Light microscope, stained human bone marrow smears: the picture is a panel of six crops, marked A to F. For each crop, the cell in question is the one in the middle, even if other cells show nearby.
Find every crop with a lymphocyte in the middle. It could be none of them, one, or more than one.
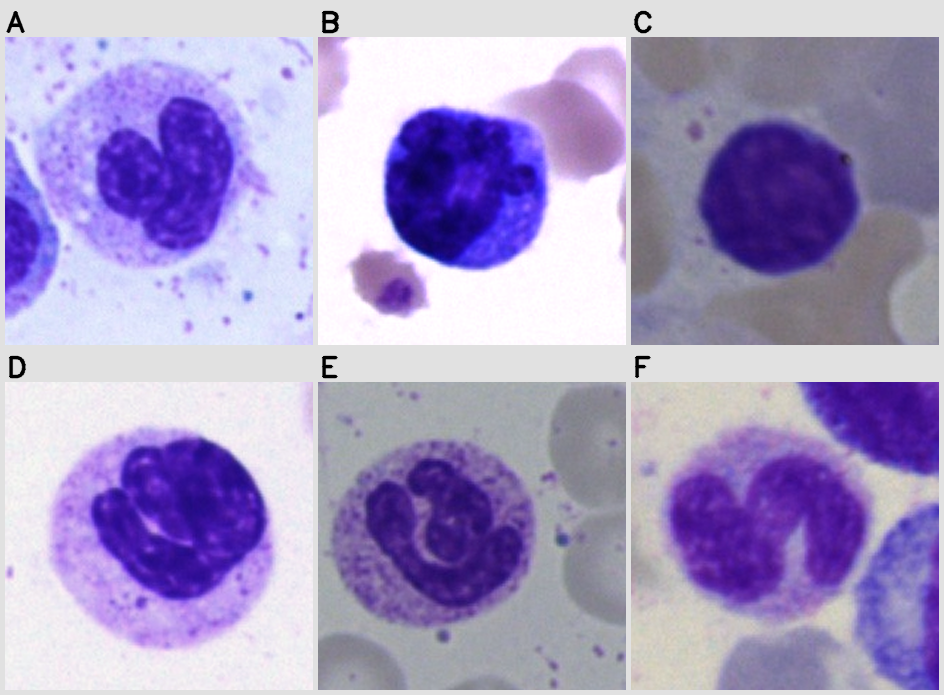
C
